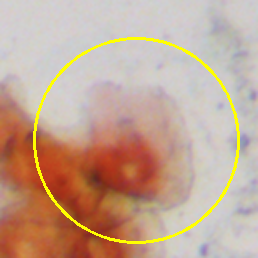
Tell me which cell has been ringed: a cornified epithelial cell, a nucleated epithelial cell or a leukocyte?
It is a nucleated epithelial cell.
